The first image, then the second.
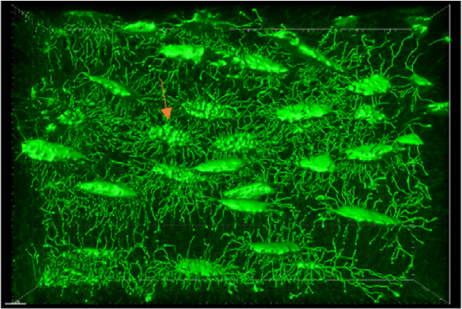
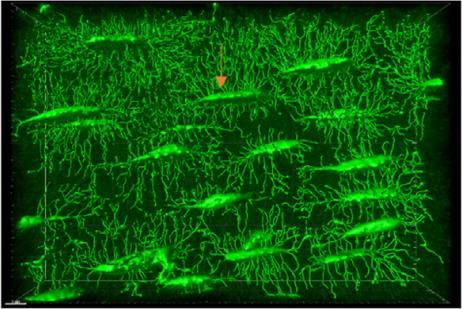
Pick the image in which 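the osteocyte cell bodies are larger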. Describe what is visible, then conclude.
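The first image. Second image: cell bodies are thin, flattened spindles. First image: cell bodies look bulkier and thicker.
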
